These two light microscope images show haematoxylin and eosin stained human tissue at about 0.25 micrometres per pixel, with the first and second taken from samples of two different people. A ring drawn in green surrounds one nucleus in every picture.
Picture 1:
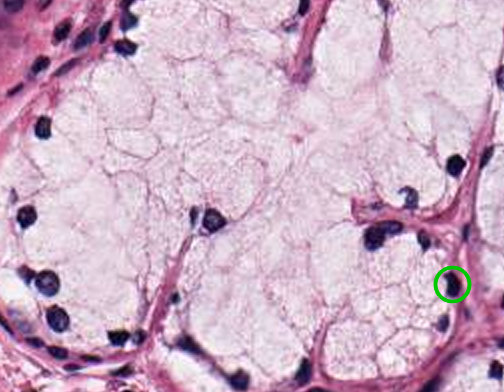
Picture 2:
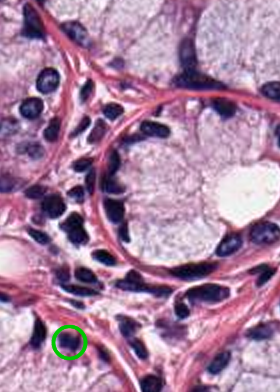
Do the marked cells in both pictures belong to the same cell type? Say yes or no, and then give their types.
Yes, both are mucous gland cells.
